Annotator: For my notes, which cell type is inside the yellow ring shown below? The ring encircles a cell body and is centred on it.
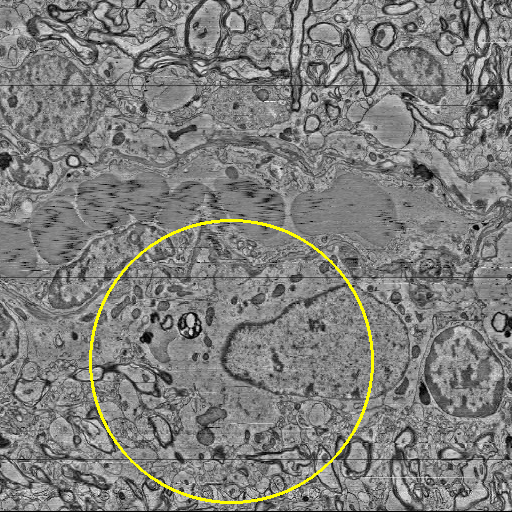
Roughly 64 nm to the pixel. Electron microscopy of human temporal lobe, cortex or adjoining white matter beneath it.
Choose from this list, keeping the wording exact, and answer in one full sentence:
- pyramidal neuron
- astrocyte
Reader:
At the centre of the yellow ring there is an astrocyte, as shown in the picture.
